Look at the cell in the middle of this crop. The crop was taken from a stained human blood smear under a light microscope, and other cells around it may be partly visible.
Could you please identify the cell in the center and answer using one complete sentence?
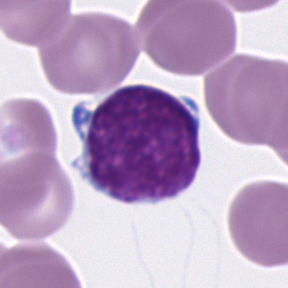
The cell in the middle of the field of view is a typical lymphocyte.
